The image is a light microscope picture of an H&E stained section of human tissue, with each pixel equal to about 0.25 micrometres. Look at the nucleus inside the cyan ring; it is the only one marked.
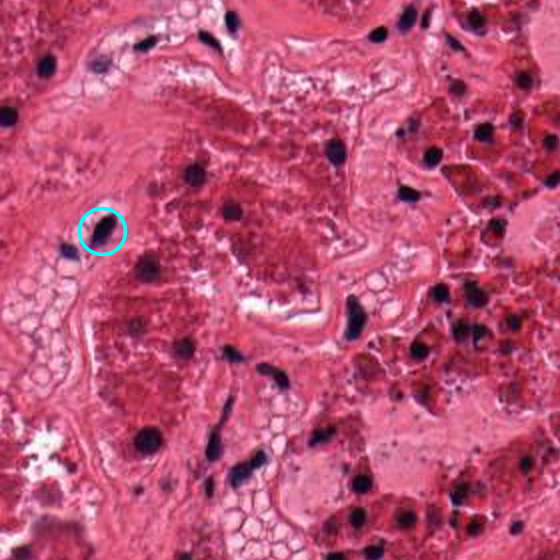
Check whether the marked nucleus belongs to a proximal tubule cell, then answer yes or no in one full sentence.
No, what the marked nucleus belongs to is a supporting cell, not a proximal tubule cell.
